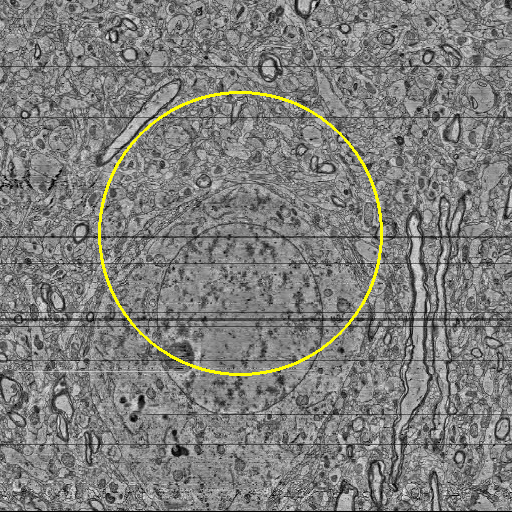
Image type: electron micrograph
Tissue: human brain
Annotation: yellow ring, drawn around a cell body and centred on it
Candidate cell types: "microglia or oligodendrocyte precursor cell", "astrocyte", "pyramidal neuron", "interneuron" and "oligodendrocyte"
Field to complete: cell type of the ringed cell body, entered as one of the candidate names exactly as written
pyramidal neuron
